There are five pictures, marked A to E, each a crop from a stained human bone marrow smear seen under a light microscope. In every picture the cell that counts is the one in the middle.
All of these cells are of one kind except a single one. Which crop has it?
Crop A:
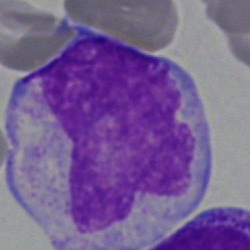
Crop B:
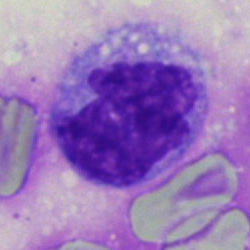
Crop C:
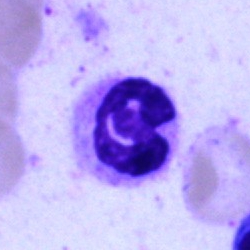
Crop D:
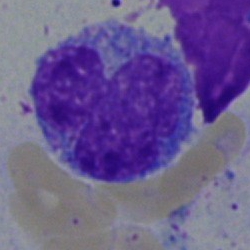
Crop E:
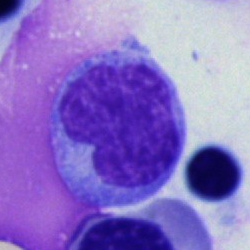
C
